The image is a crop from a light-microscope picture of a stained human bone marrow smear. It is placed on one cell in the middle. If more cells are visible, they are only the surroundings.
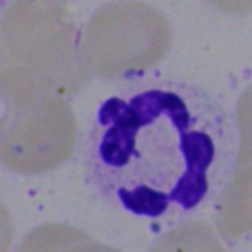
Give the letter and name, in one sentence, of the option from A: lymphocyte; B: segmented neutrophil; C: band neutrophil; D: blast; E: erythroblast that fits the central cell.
The cell in the middle is correctly identified as a segmented neutrophil in option B.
